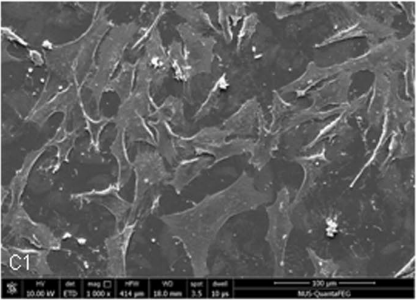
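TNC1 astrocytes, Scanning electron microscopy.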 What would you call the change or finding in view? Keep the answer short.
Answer: “squamous” appearance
